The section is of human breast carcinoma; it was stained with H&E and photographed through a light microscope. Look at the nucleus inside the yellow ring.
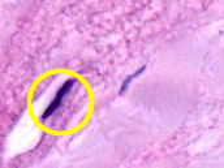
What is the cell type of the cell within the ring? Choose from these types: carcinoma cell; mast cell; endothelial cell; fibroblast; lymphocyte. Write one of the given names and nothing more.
fibroblast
